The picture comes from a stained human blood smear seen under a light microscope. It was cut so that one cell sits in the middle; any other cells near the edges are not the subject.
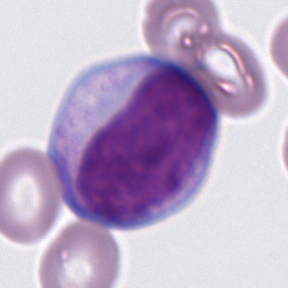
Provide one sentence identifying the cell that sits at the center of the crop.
The centered cell in this crop is an atypical promyelocyte.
